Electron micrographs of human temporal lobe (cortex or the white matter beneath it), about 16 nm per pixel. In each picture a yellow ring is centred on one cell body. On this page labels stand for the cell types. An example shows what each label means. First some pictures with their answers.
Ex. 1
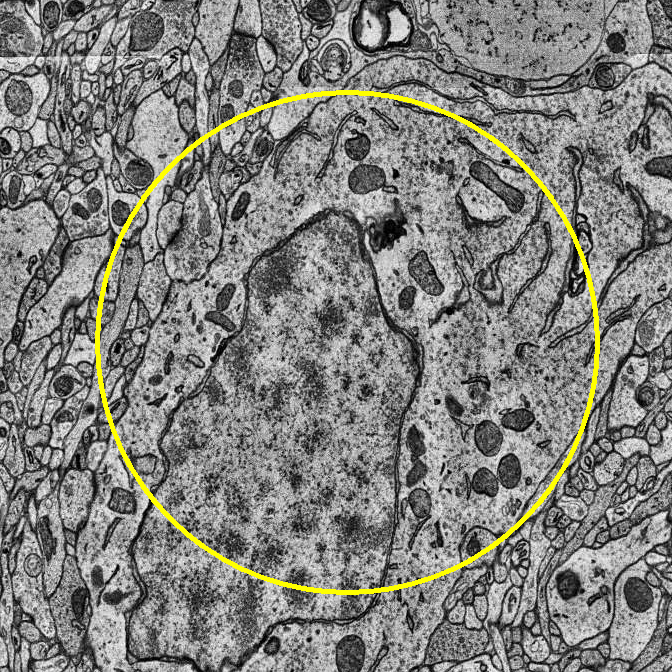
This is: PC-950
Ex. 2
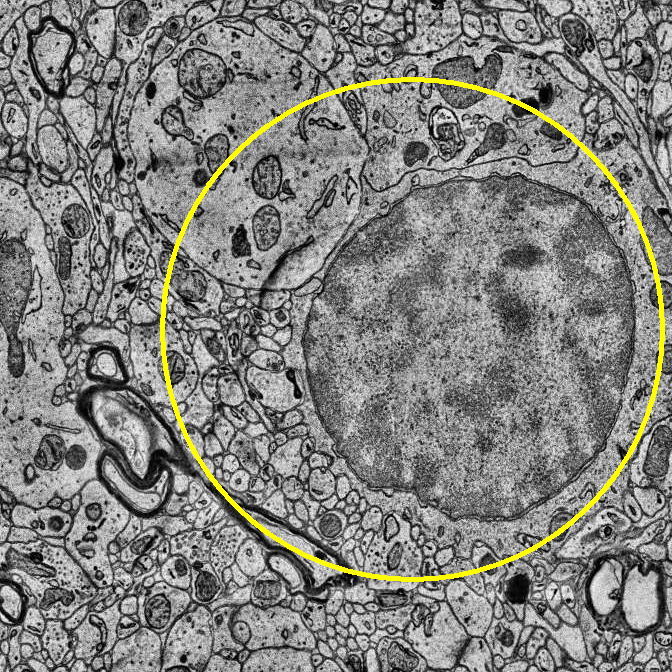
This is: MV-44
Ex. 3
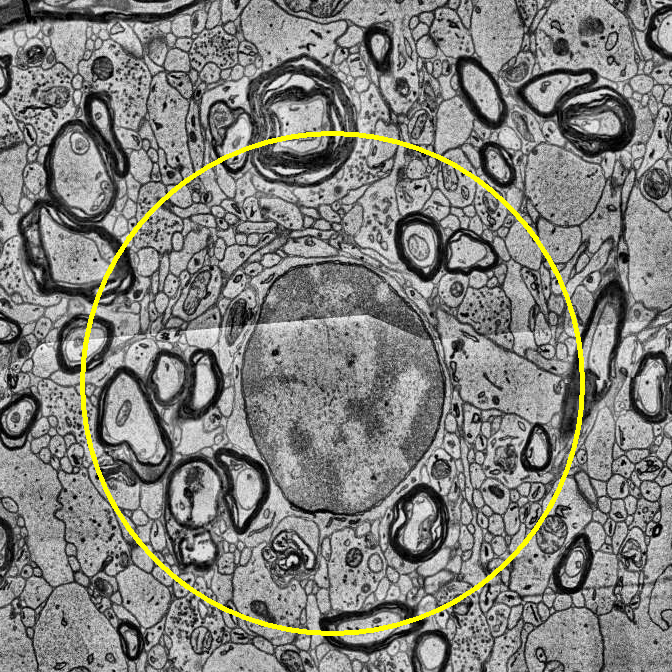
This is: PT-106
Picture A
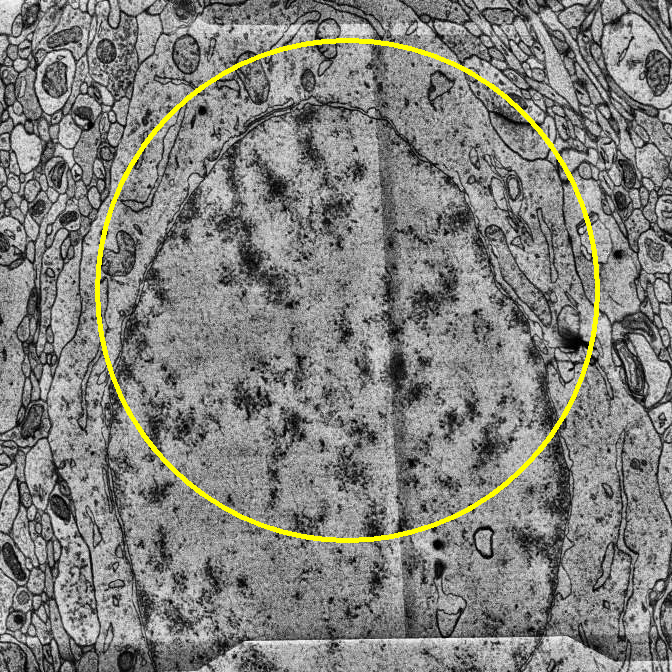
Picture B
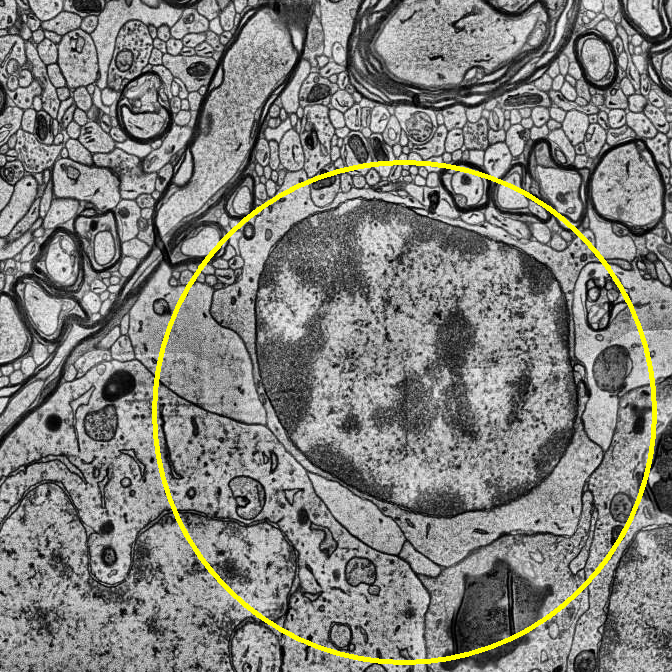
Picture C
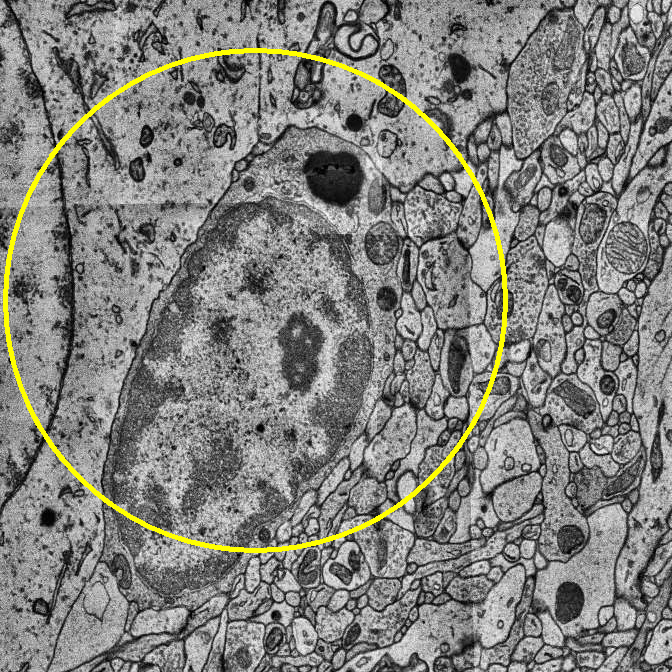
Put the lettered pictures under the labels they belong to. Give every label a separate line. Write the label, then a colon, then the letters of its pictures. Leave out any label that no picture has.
PC-950: A
MV-44: C
PT-106: B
